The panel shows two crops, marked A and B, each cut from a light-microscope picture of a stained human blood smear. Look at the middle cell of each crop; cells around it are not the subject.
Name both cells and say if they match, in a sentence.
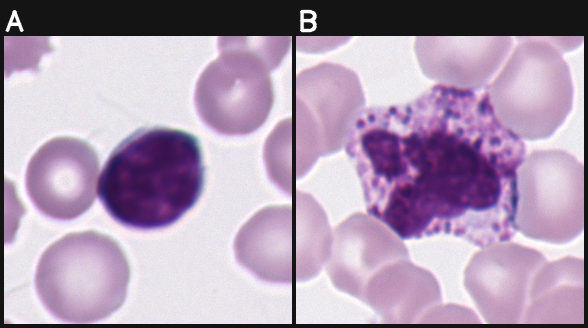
No, crop A carries a typical lymphocyte at its centre, and crop B carries a basophil.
